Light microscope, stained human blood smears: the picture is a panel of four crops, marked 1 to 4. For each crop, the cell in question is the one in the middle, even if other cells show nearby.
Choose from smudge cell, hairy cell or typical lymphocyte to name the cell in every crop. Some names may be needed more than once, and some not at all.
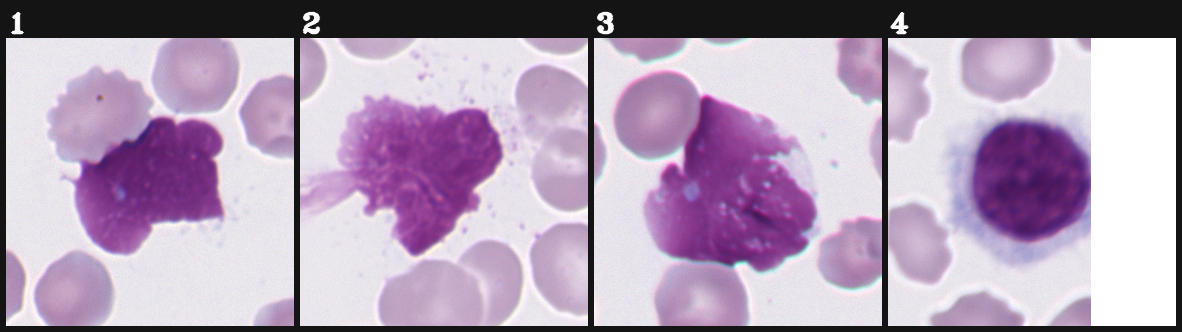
1: smudge cell
2: smudge cell
3: smudge cell
4: hairy cell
